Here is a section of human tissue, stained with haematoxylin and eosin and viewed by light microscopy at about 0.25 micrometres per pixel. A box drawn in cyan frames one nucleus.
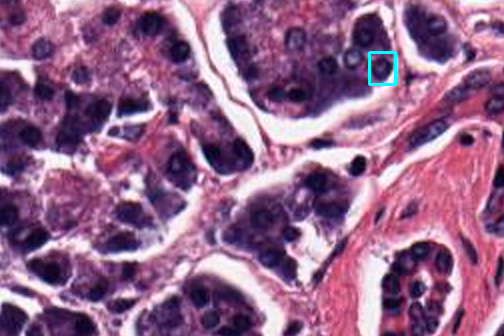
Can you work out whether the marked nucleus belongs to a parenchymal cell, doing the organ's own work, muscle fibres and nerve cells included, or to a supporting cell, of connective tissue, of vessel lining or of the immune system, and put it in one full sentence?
The marked nucleus is enclosed by a parenchymal cell, namely a pancreatic acinar cell.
